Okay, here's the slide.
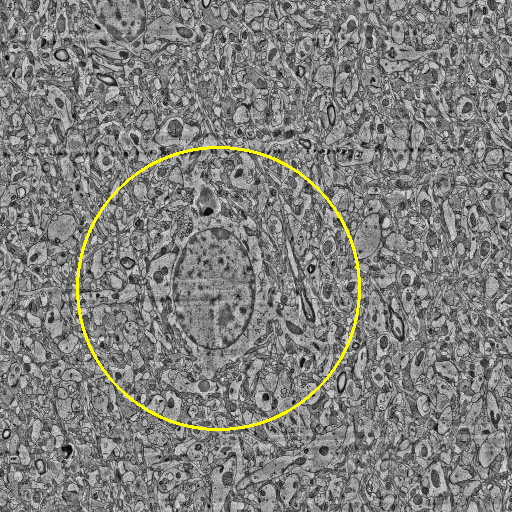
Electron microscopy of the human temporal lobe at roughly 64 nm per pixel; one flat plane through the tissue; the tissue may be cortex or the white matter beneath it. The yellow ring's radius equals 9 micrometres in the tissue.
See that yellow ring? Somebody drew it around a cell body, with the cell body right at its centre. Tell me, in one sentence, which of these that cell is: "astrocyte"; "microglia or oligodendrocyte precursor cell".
The cell in the middle of the ring is an astrocyte.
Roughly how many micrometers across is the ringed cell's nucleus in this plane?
About 8 by 5 micrometres in this plane.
